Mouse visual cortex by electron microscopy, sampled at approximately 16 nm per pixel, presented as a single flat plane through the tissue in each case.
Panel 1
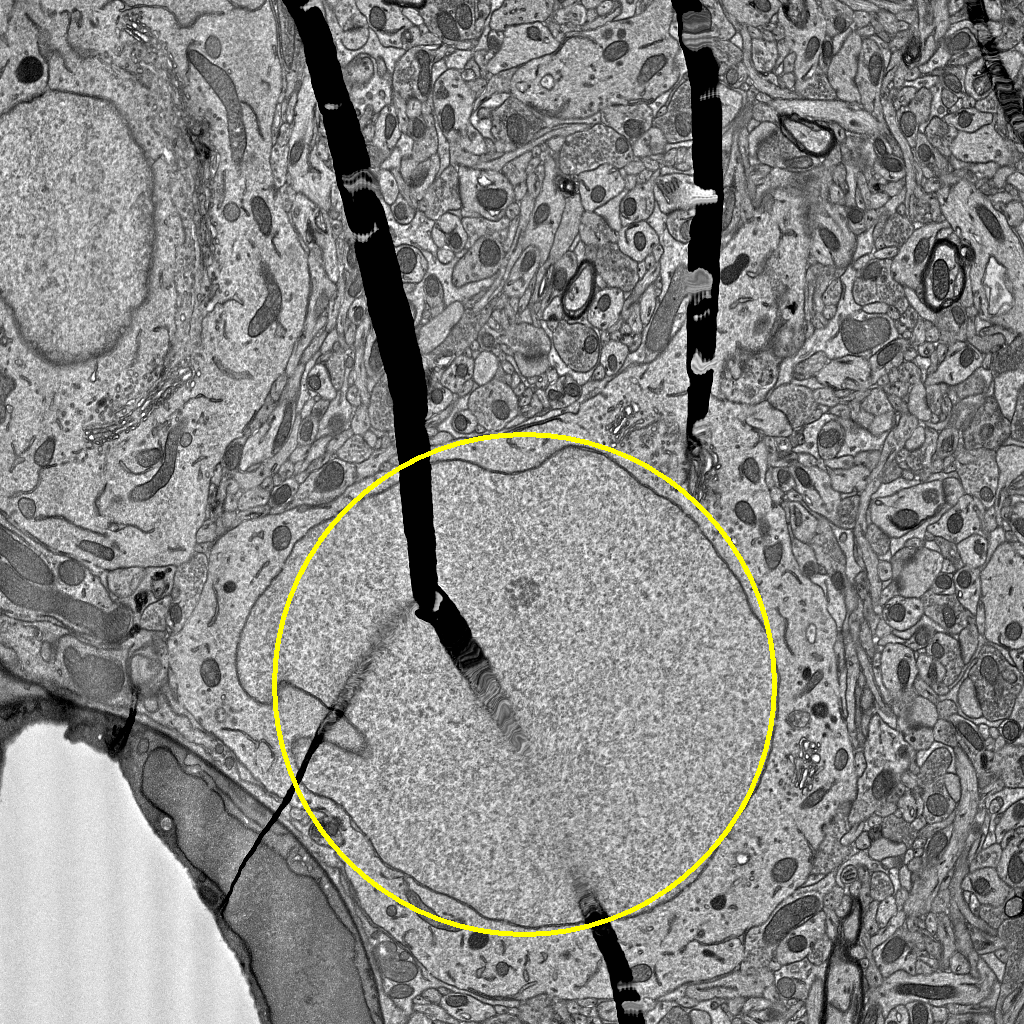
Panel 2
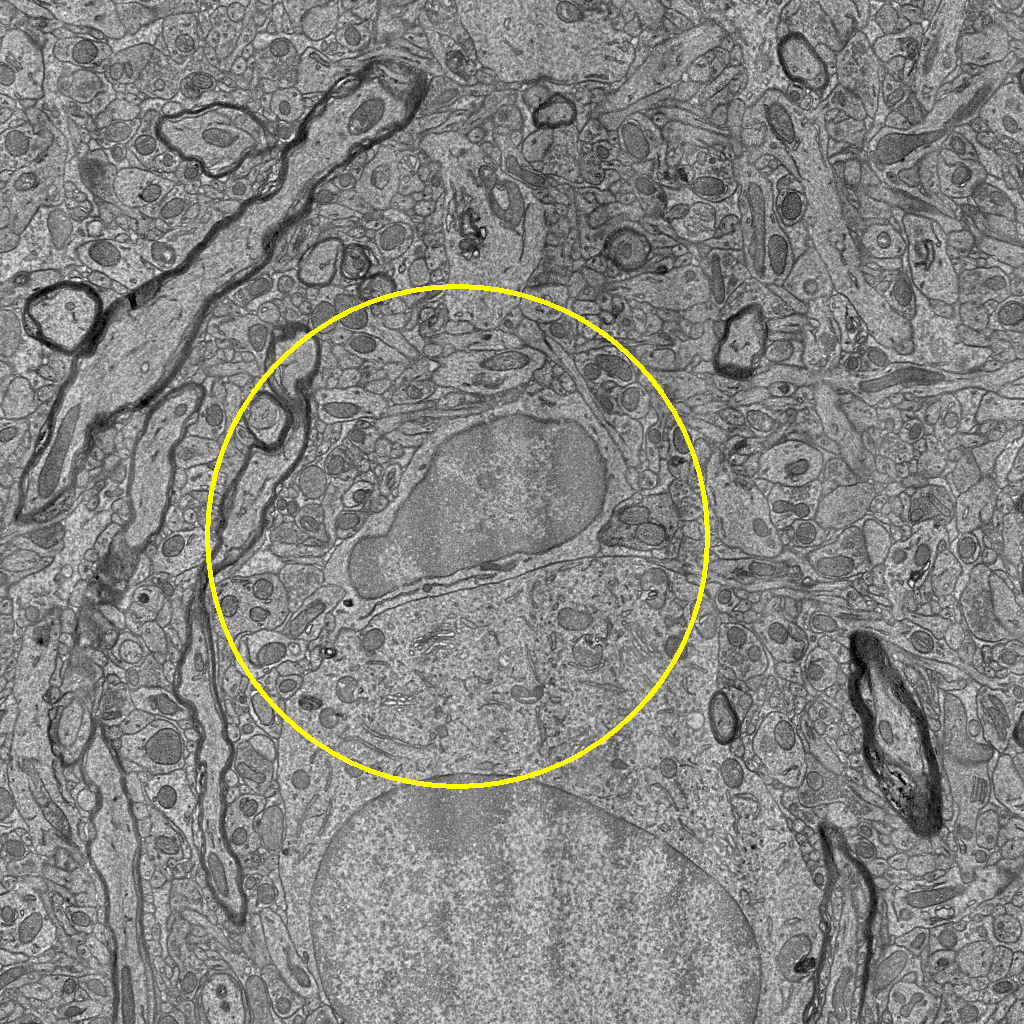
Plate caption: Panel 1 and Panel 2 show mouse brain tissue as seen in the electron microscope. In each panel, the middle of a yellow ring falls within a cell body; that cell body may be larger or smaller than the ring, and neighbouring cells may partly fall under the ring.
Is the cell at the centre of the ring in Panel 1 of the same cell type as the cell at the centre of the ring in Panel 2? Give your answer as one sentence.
No, the two cells are of two types.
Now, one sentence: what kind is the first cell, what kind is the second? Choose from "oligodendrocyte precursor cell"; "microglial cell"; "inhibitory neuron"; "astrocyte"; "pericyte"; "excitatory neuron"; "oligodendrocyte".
The first of the two cells is an excitatory neuron, and the second is a microglial cell.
